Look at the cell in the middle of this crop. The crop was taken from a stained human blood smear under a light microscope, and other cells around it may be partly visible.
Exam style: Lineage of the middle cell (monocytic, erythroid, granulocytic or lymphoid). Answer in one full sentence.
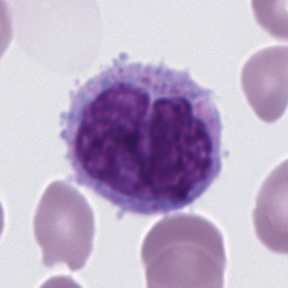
The cell occupying the middle of the crop is classified within the monocytic lineage.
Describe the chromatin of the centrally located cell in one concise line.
Check the chromatin: it is fine and not coarsely clumped.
